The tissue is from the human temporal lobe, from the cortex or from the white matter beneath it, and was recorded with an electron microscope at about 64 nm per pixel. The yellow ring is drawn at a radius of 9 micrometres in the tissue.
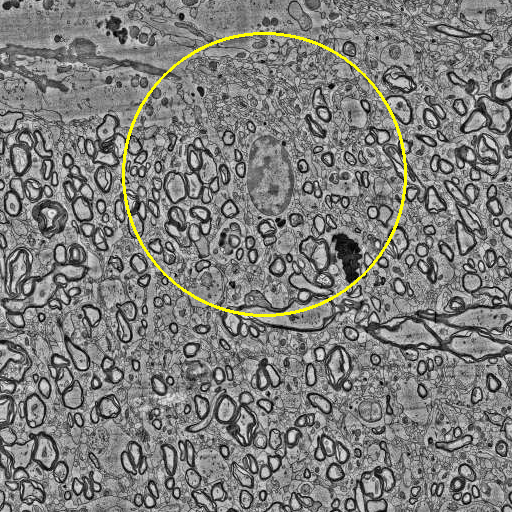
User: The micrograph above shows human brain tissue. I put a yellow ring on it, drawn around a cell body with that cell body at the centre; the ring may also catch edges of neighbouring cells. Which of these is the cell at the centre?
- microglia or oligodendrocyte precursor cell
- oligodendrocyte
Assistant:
microglia or oligodendrocyte precursor cell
